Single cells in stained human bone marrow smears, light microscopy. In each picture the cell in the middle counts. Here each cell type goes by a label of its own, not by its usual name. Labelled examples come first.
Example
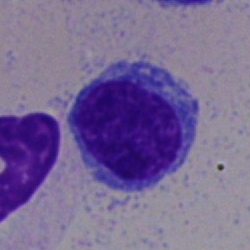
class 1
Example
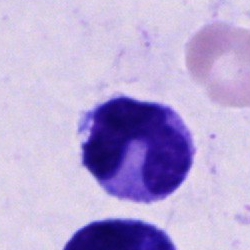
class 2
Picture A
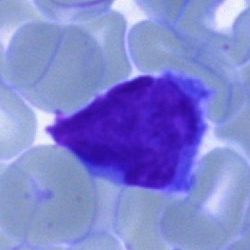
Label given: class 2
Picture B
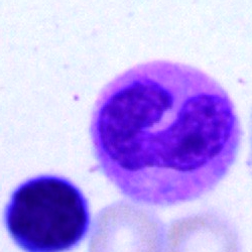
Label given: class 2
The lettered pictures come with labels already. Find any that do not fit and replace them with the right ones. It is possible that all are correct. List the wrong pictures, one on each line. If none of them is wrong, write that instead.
A should be class 1, not class 2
